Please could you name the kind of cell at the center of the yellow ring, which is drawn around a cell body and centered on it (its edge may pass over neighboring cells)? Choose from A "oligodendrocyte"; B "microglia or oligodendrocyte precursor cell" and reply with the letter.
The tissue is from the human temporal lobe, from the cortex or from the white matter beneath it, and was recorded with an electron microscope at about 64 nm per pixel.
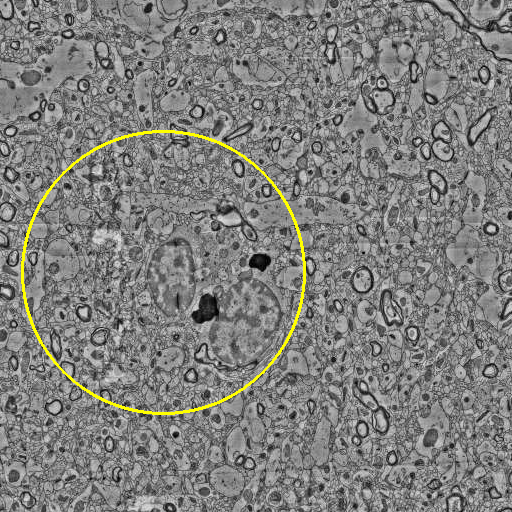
A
